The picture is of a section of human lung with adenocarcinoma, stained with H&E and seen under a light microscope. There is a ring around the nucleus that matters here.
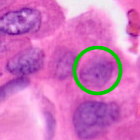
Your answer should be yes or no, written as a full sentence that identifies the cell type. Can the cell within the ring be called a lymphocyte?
No, the cell within the ring is not a lymphocyte, but is instead a carcinoma cell.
